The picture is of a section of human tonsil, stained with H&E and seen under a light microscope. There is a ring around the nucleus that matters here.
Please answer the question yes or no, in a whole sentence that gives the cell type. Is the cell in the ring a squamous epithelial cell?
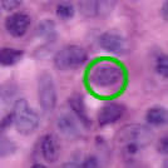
Yes, that the cell in the ring is a squamous epithelial cell is correct.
